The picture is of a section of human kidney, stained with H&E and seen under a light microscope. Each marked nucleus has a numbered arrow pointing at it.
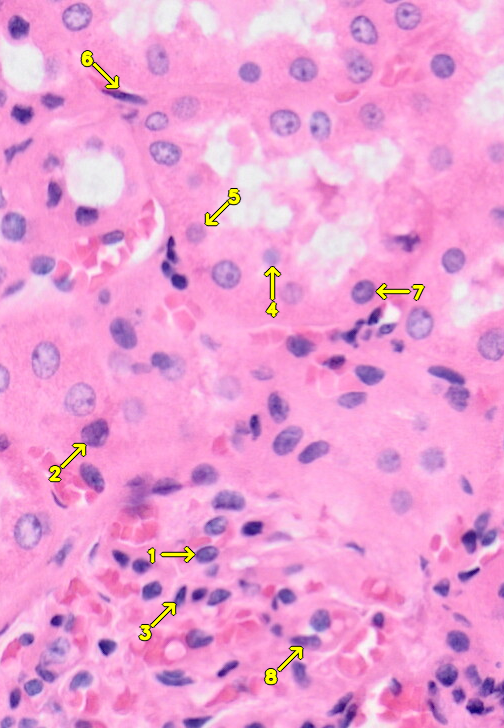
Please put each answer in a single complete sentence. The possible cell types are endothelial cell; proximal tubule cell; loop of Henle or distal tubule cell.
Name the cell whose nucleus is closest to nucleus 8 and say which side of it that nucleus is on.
Just above and to the right of nucleus 8 lies the nearest nucleus, which belongs to an endothelial cell.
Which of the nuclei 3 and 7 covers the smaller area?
With nucleus 7 about 2 times its size, nucleus 3 is the smaller of the two.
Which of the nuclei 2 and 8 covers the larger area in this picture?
The larger nucleus is 2, at roughly 2 times the area of 8.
